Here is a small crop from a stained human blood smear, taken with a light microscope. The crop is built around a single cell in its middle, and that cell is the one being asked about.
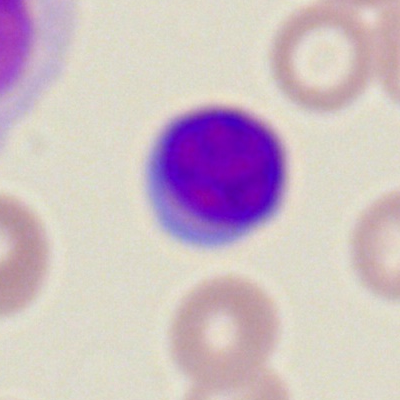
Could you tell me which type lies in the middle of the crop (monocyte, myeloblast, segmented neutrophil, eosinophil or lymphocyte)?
lymphocyte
